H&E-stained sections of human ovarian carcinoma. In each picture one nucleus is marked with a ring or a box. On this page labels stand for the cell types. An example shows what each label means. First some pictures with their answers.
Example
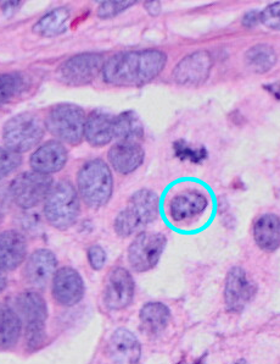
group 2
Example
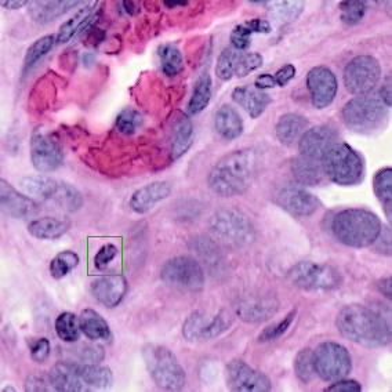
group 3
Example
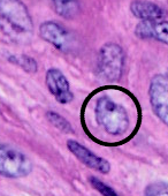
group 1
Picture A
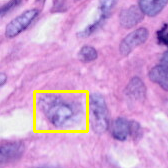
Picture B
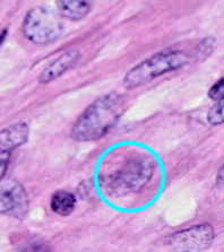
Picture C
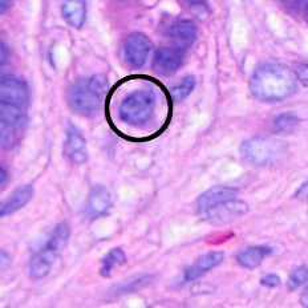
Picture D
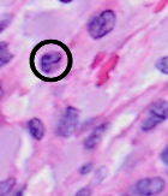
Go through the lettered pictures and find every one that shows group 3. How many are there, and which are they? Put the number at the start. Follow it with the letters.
Count: 1 (D)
